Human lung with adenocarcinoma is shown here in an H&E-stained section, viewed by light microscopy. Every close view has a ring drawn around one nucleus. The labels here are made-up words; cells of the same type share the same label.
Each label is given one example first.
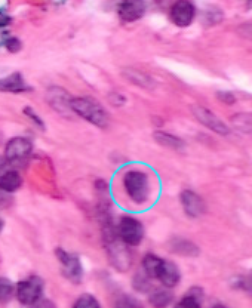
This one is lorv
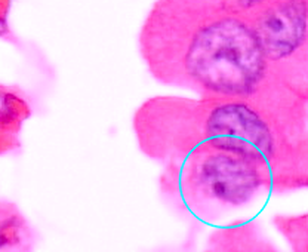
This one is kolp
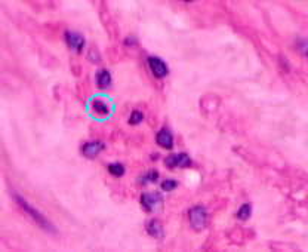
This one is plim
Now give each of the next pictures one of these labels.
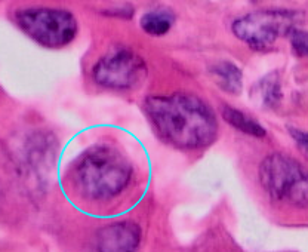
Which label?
kolp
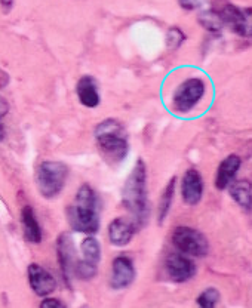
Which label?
lorv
